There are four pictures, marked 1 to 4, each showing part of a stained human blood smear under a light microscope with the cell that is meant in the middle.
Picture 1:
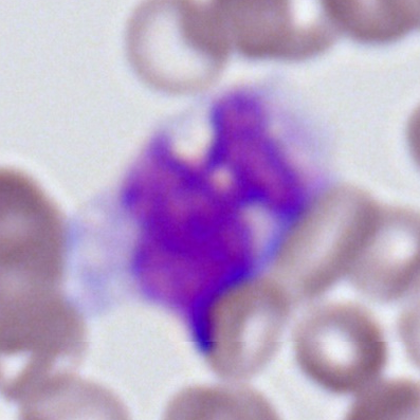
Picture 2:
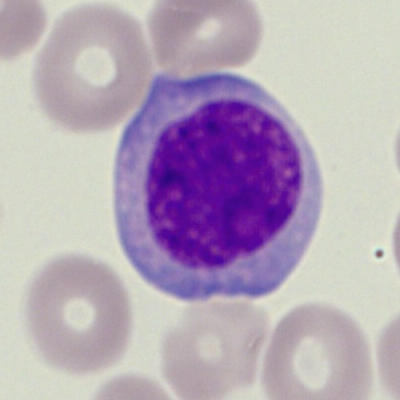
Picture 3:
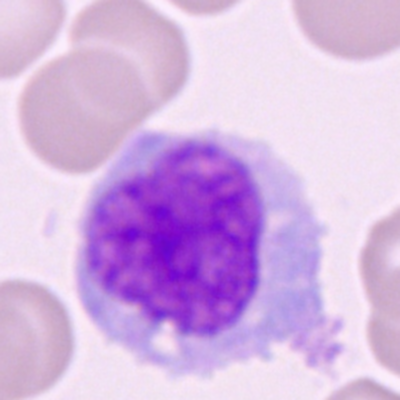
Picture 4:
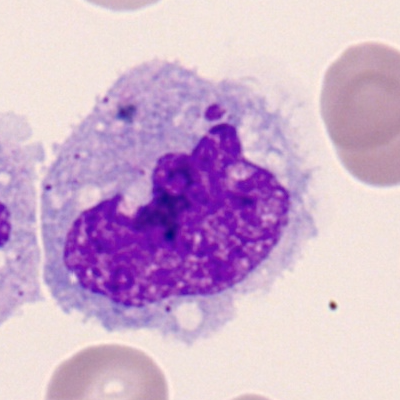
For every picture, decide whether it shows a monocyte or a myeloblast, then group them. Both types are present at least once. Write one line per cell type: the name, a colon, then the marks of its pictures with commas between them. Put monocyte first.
monocyte: 1, 3, 4
myeloblast: 2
